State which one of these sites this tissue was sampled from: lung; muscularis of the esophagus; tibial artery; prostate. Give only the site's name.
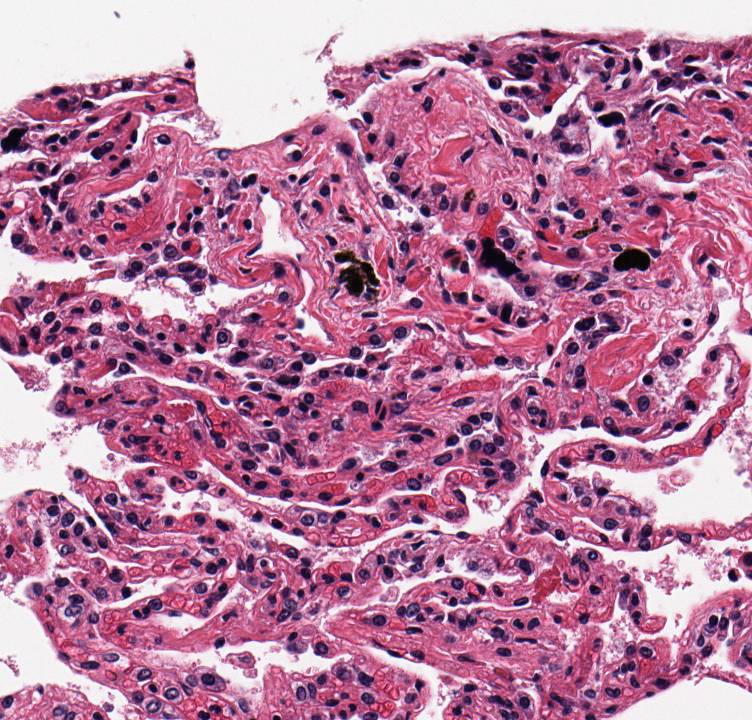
lung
